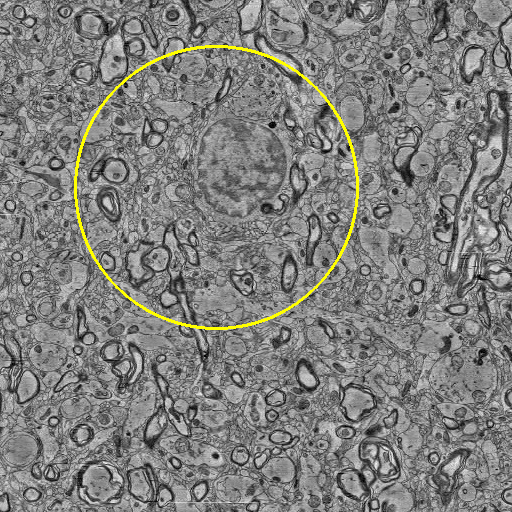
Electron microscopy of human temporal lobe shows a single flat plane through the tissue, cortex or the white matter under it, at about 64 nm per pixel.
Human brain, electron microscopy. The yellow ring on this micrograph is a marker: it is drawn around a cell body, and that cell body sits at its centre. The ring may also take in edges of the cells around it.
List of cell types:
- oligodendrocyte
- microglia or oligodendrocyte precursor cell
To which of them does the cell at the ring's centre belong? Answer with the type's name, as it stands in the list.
oligodendrocyte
